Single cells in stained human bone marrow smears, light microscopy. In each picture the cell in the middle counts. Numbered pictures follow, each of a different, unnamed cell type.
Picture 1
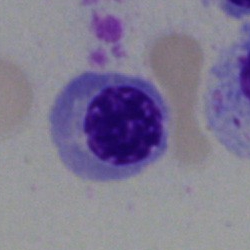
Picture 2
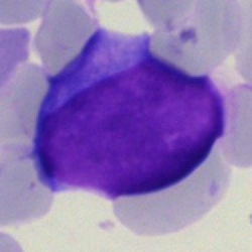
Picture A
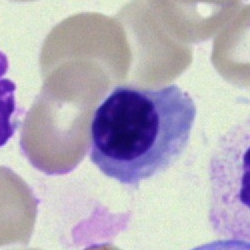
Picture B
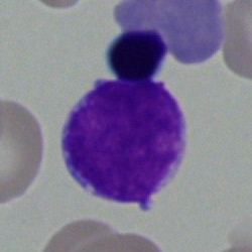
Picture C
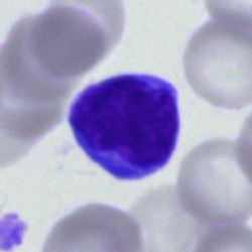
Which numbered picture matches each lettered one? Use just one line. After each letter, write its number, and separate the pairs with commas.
A 1, B 2, C 2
